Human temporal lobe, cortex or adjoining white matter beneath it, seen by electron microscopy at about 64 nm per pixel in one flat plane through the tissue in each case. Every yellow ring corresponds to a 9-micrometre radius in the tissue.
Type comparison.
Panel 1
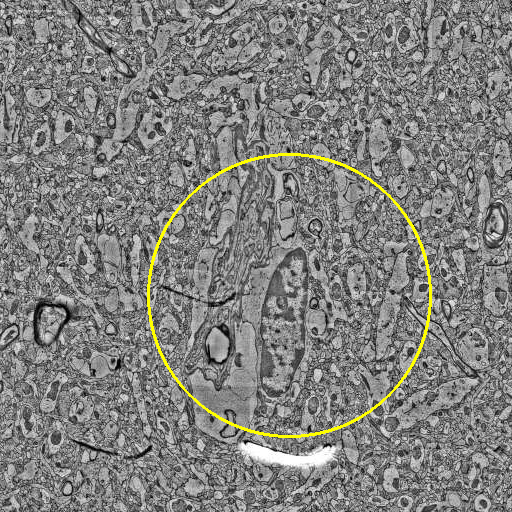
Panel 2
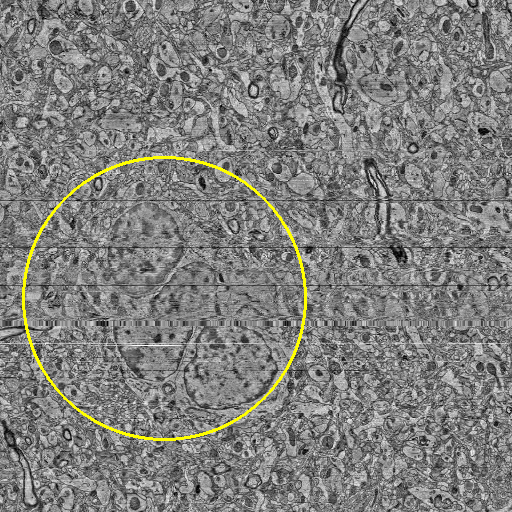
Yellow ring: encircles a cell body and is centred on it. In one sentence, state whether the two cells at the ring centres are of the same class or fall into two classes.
In these panels, the two cells at the ring centres are of the same class.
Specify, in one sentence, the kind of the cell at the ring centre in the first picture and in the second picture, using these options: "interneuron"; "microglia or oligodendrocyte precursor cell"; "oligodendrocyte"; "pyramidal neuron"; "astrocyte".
In each picture the ringed cell is a microglial cell or oligodendrocyte precursor cell.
